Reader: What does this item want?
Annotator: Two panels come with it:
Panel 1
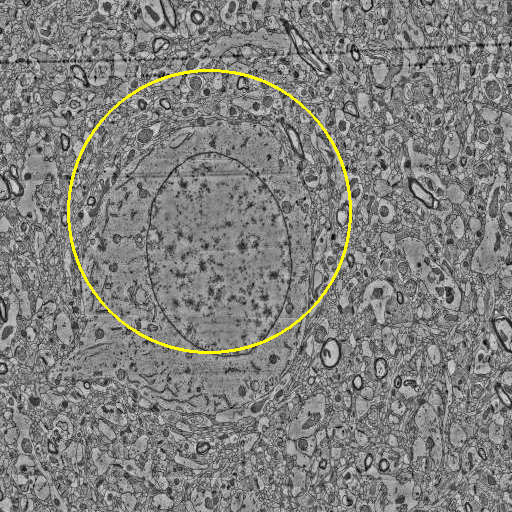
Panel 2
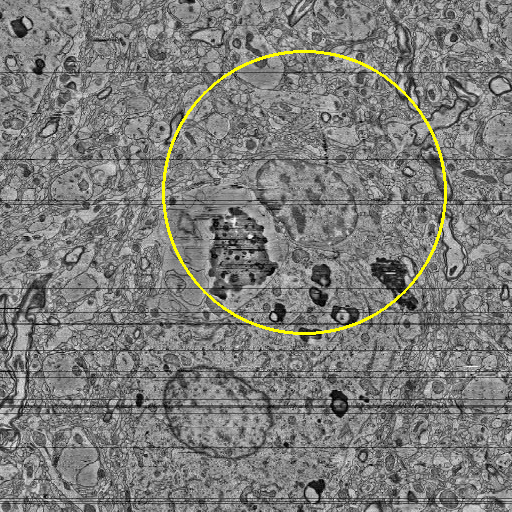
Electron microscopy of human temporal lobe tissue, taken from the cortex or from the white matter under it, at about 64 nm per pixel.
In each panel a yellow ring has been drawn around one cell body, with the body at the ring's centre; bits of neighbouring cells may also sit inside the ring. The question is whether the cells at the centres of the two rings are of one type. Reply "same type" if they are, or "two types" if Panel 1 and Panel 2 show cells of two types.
two types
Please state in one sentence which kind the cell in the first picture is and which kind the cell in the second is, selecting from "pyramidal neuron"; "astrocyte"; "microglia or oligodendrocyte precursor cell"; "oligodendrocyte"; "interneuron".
The first ringed cell is a pyramidal neuron, the second ringed cell an oligodendrocyte.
